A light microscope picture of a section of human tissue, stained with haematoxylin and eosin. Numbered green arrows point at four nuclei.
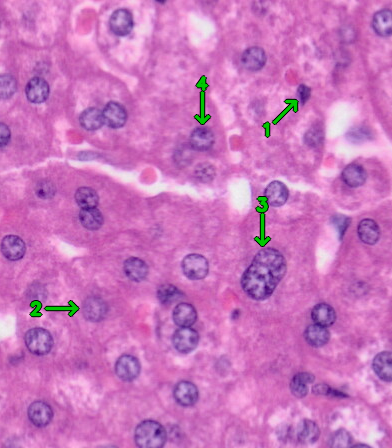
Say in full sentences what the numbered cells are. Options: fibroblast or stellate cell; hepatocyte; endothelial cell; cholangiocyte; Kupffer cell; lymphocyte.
Cell 1 is a fibroblast or stellate cell. Cells 2, 3 and 4 are hepatocytes.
